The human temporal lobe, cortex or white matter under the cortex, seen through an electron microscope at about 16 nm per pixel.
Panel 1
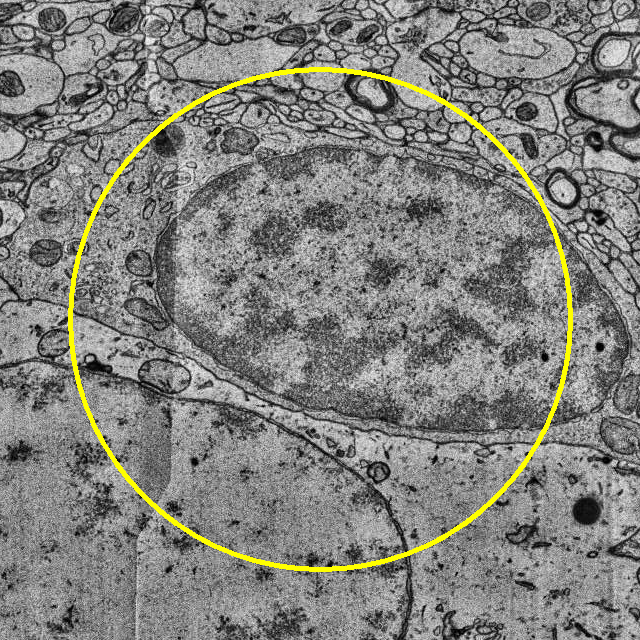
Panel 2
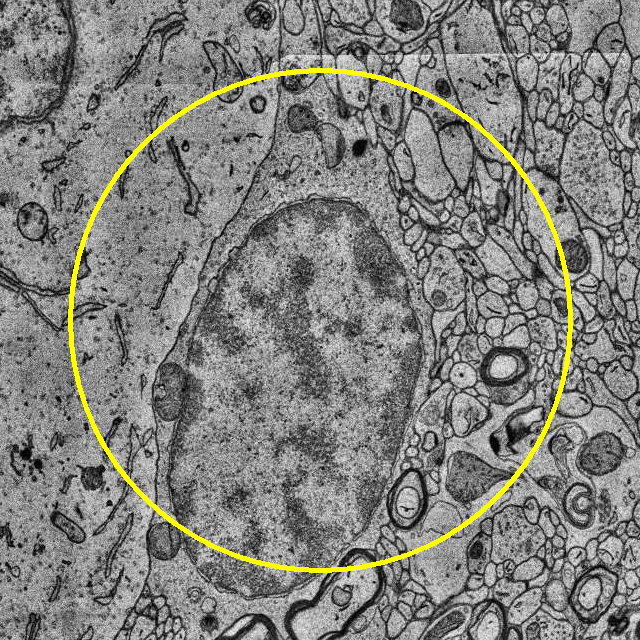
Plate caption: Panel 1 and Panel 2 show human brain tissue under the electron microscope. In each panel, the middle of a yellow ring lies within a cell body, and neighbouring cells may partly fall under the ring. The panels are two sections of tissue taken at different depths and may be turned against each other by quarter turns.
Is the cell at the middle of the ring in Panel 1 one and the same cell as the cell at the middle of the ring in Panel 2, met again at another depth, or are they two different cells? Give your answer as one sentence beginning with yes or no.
Yes, both marked profiles belong to the very same cell.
